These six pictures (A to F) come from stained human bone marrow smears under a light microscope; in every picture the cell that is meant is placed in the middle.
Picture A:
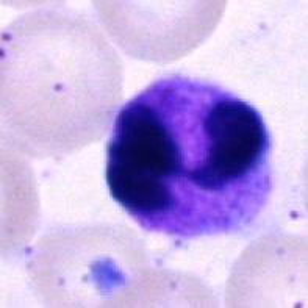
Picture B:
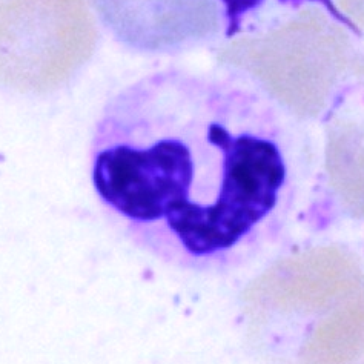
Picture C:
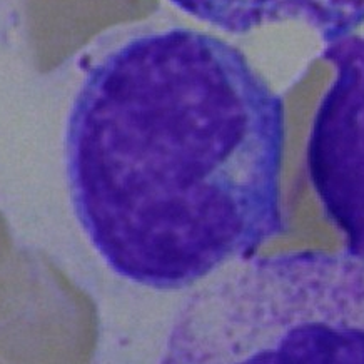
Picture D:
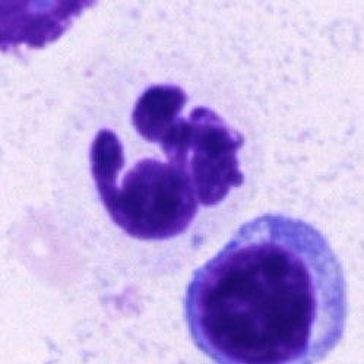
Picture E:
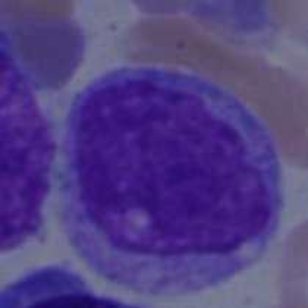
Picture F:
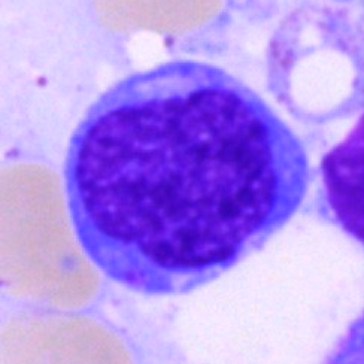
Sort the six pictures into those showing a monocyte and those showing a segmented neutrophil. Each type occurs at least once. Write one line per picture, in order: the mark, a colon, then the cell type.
A: segmented neutrophil
B: segmented neutrophil
C: monocyte
D: segmented neutrophil
E: monocyte
F: monocyte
